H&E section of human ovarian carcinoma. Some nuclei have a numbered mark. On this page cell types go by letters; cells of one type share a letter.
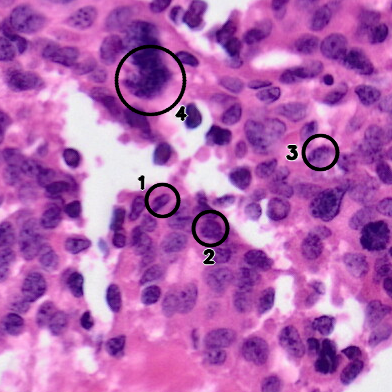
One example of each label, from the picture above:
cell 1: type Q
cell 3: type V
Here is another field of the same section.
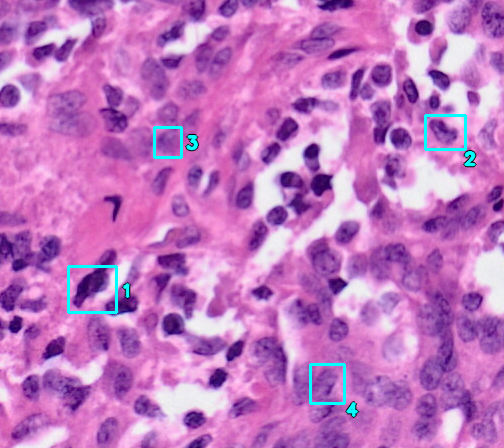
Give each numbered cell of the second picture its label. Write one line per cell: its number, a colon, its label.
1: type V
2: type Q
3: type V
4: type V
